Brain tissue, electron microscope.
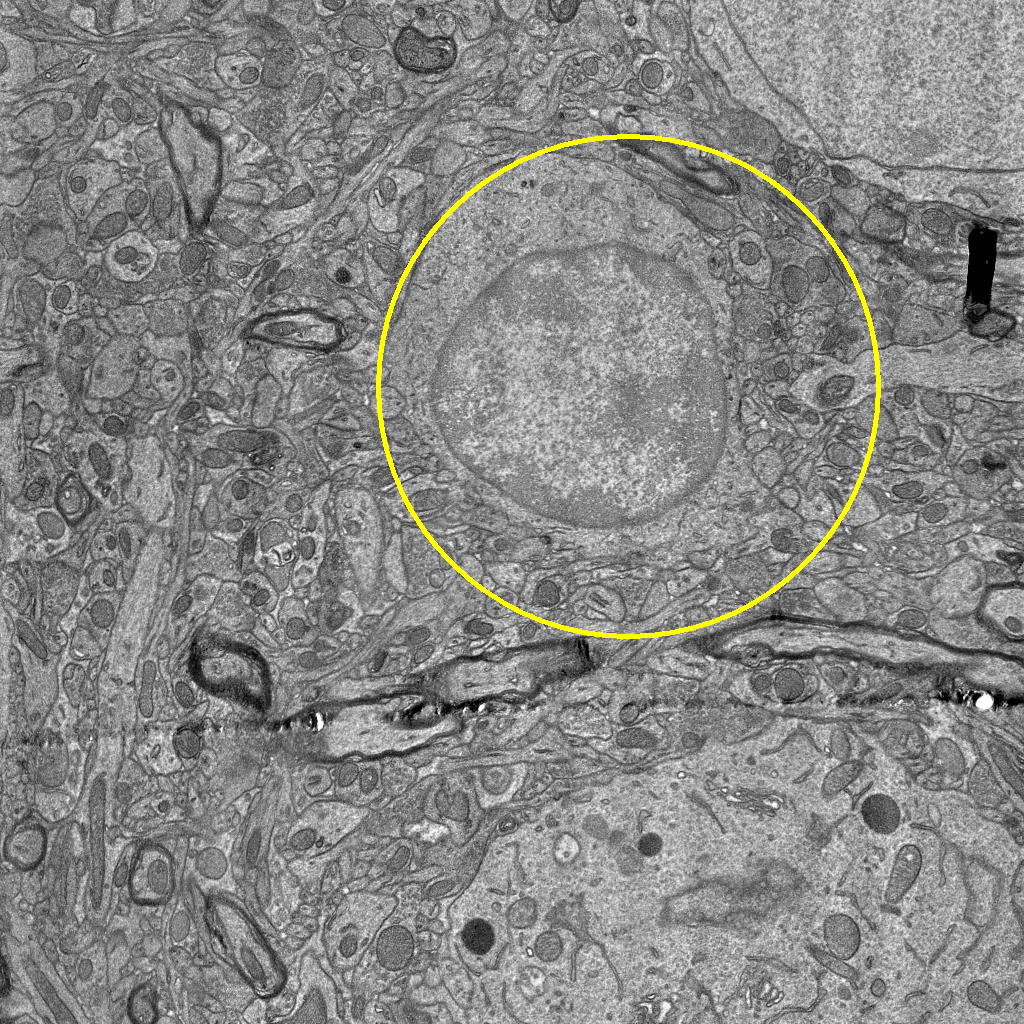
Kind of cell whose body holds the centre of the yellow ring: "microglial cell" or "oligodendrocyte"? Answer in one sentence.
The ring's centre falls on an oligodendrocyte.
